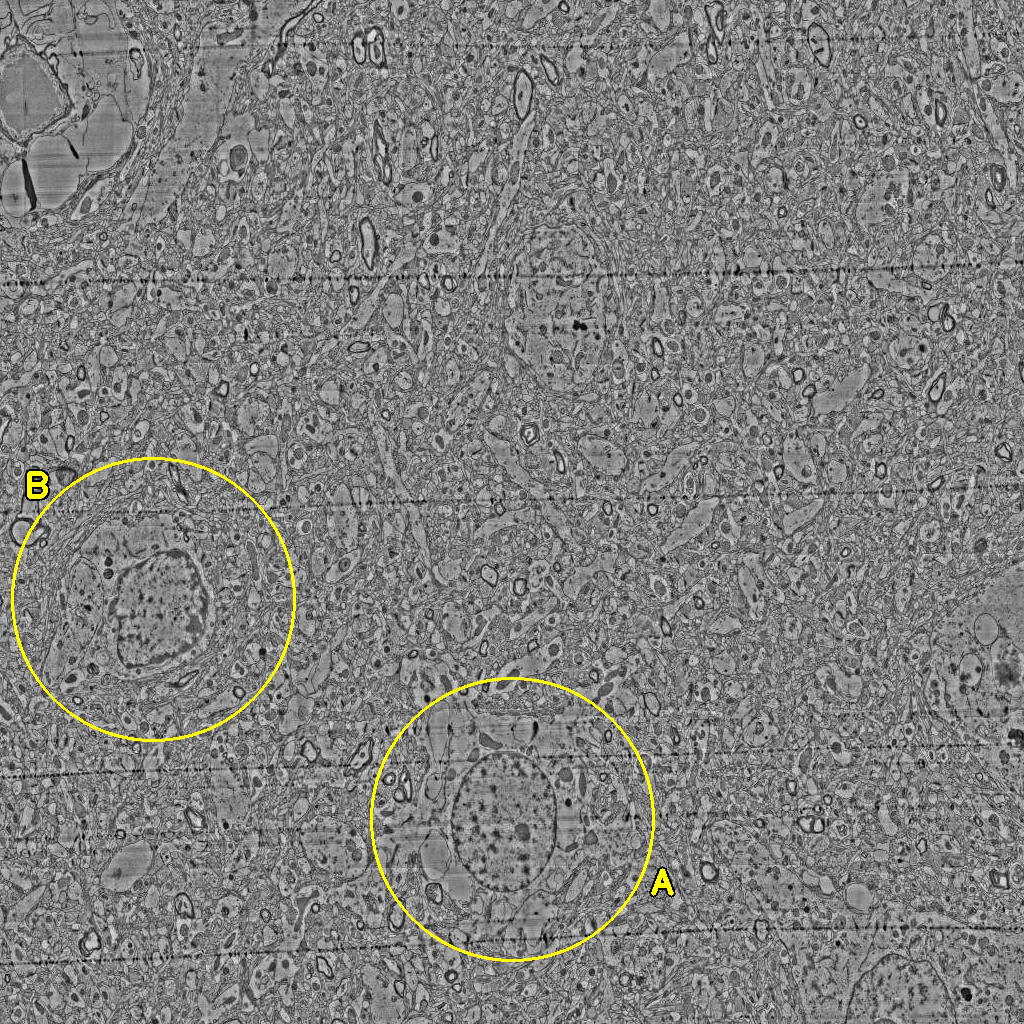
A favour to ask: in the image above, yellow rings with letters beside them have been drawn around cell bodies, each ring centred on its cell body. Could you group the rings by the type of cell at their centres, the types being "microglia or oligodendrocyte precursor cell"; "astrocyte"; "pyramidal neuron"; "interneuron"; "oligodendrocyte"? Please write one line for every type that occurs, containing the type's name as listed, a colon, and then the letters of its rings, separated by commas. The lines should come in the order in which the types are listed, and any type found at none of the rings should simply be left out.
microglia or oligodendrocyte precursor cell: B
astrocyte: A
